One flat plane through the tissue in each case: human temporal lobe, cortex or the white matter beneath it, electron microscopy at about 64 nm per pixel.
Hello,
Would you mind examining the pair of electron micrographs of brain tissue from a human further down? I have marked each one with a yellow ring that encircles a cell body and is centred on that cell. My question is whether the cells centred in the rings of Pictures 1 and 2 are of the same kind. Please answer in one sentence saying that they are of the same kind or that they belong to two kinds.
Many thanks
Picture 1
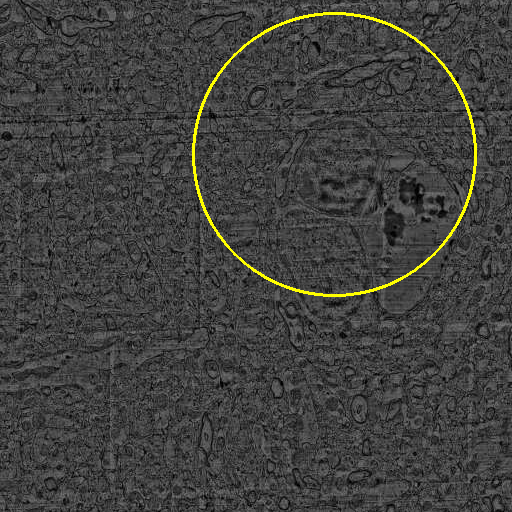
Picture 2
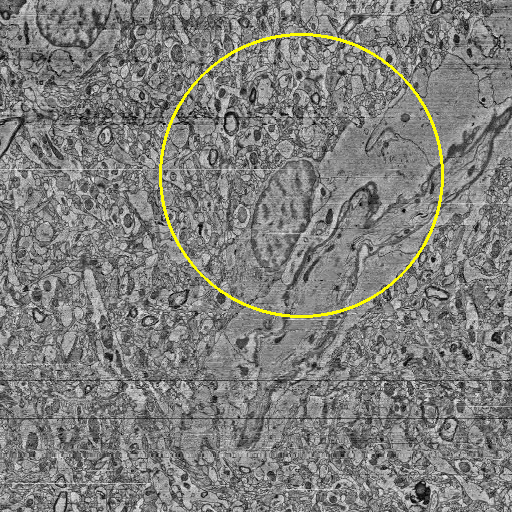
In Pictures 1 and 2, the cells at the heart of the rings are of the same kind.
